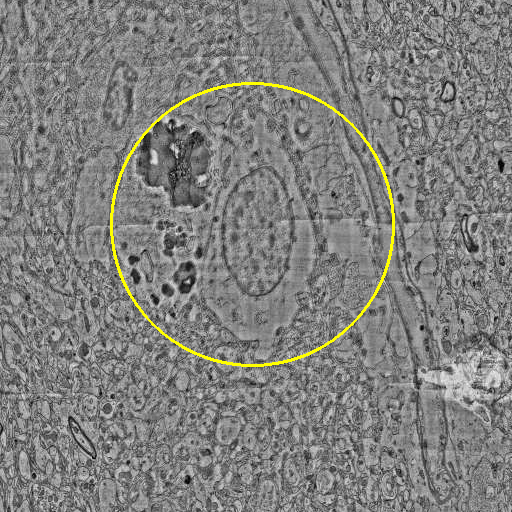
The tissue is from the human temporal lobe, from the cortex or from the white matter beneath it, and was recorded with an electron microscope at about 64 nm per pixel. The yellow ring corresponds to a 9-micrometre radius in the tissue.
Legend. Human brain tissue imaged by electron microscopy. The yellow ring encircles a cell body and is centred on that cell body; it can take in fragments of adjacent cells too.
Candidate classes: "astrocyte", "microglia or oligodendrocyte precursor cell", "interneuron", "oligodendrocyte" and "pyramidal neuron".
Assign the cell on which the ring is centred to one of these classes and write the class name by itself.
astrocyte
